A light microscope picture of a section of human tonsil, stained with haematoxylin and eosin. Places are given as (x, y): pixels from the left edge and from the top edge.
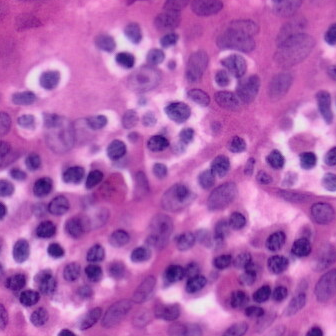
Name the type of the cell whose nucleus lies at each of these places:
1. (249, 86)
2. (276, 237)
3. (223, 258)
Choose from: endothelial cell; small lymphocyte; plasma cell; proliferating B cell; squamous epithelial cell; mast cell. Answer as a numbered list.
1. squamous epithelial cell
2. plasma cell
3. plasma cell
